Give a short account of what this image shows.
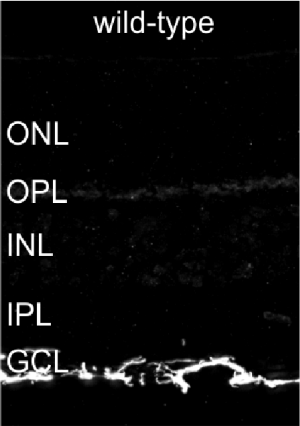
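Section of retina in which the white labelling is almost confined to an irregular bright band along the inner surface at the ganglion cell layer. The inner plexiform, inner nuclear, outer plexiform and outer nuclear layers above it are dark, with no radial fibers crossing them.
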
